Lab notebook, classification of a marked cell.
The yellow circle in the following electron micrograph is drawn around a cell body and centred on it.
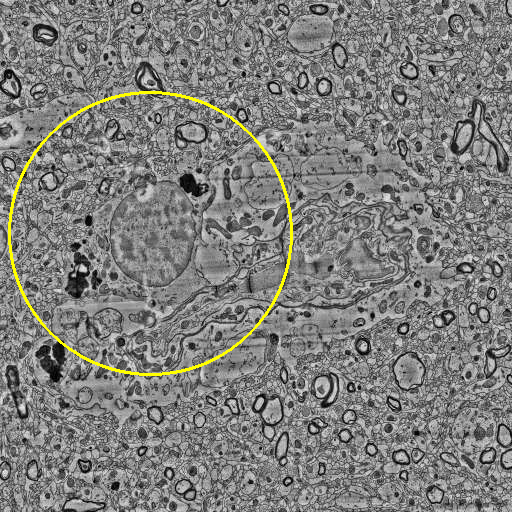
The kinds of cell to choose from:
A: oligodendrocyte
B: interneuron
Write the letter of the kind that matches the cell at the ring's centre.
A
